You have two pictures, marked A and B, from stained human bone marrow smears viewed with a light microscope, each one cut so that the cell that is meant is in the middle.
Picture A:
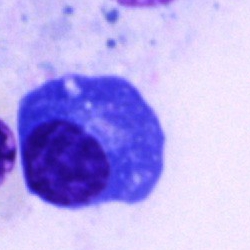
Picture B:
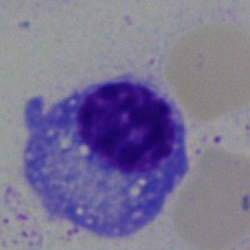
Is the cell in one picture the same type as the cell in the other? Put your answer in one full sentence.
Yes, the two pictures both show plasma cells.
